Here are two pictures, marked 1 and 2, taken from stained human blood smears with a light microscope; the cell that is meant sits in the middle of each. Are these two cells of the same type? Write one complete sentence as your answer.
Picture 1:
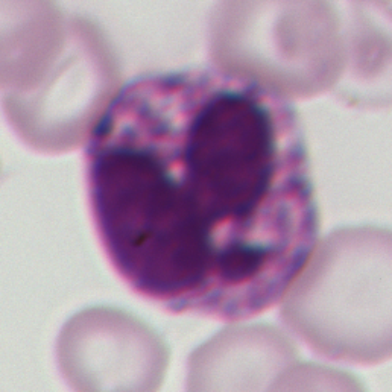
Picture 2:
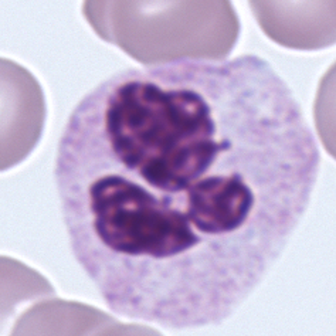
No, they differ: the cell is a basophil in picture 1 and a segmented neutrophil in picture 2.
